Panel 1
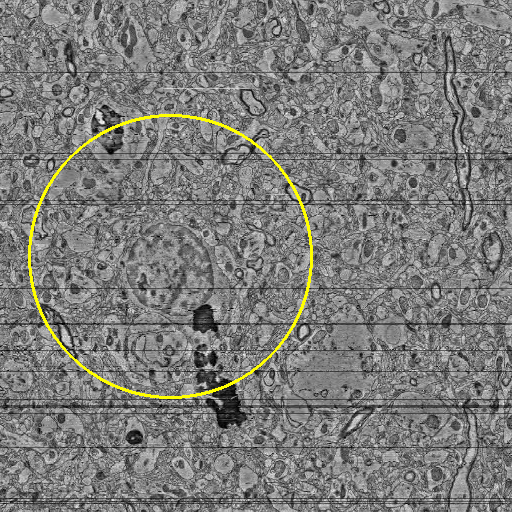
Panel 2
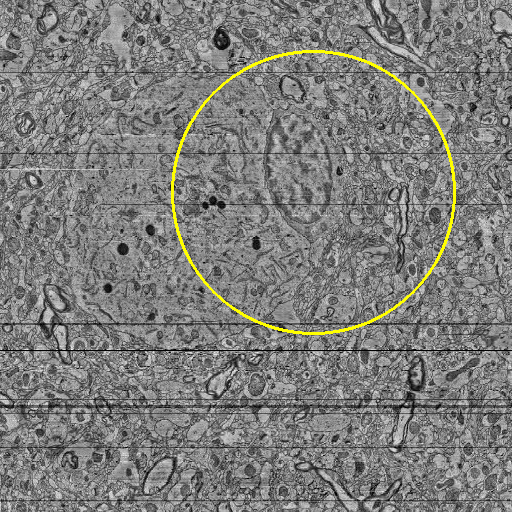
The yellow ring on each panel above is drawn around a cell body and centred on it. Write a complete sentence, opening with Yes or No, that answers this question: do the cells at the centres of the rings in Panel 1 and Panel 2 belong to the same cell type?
Yes, both cells belong to the same cell type.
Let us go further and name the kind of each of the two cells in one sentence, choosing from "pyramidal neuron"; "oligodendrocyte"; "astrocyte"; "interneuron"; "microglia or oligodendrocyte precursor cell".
Each cell at the centre of a ring is an oligodendrocyte.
